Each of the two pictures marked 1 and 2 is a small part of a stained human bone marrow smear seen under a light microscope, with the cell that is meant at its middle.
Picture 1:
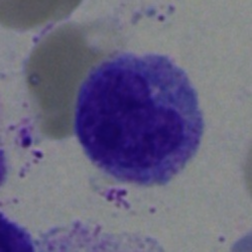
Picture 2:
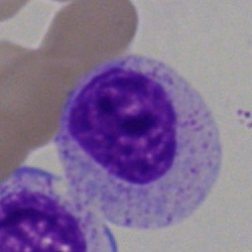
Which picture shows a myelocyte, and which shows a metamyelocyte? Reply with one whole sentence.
Picture 1 is of a metamyelocyte, and picture 2 is of a myelocyte.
